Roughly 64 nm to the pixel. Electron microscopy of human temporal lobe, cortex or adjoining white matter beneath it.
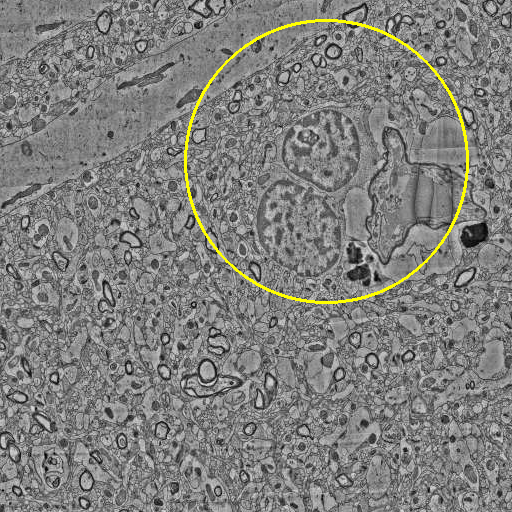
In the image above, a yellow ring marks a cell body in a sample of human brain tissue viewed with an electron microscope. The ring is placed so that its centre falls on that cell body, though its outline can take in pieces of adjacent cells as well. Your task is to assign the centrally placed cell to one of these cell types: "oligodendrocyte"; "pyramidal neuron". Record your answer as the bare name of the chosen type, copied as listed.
oligodendrocyte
